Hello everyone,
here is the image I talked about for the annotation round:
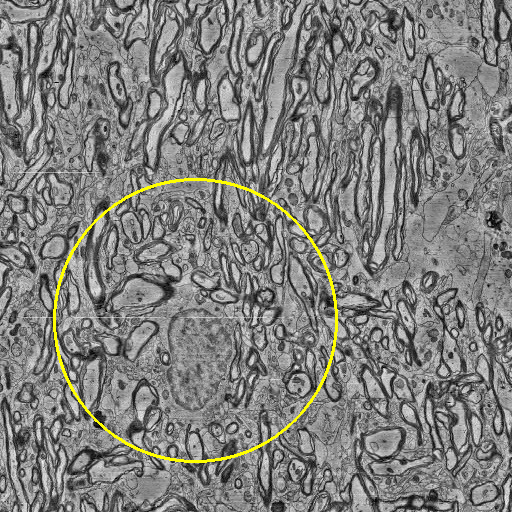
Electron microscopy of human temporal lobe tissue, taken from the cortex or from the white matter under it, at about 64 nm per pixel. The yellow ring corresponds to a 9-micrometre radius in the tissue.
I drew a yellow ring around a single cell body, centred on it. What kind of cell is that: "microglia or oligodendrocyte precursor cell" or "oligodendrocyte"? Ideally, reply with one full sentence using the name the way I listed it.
The cell your yellow ring is centred on is an oligodendrocyte, going by your list.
